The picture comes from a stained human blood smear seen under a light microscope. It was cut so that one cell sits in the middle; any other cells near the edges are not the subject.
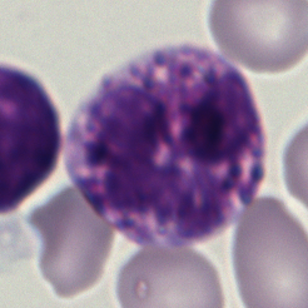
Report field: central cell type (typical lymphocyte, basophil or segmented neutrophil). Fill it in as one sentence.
Located at the centre of the crop is a basophil.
